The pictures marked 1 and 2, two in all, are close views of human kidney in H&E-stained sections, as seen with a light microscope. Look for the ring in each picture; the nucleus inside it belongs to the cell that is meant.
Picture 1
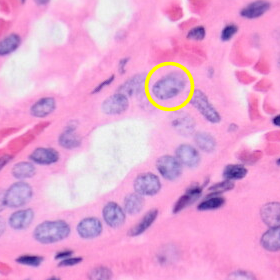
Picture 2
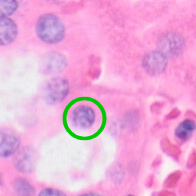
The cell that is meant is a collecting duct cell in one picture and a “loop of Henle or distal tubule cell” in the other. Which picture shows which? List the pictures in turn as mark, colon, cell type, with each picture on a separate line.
1: collecting duct cell
2: loop of Henle or distal tubule cell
